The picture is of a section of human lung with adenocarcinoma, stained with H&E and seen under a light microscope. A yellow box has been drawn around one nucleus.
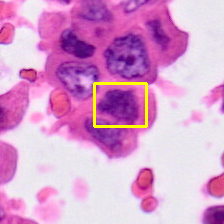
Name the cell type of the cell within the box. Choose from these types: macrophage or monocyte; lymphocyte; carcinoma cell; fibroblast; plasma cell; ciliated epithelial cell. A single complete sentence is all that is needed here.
Students should answer that the cell within the box is a carcinoma cell.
